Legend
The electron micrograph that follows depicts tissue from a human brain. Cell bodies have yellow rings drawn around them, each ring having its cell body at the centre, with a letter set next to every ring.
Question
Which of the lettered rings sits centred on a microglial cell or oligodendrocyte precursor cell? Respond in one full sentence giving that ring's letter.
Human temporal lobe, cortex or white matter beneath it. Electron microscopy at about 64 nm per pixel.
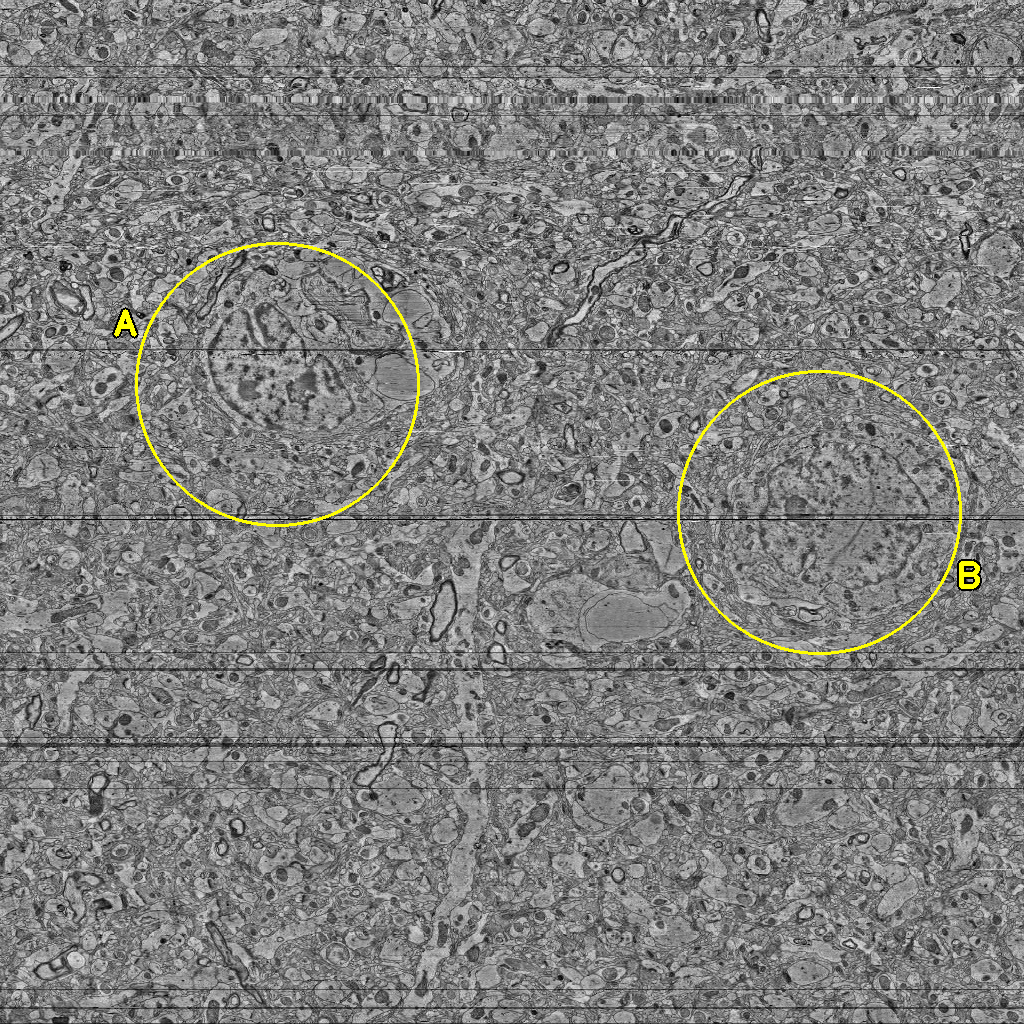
The letter A belongs to the ring centred on the cell asked about in the micrograph.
